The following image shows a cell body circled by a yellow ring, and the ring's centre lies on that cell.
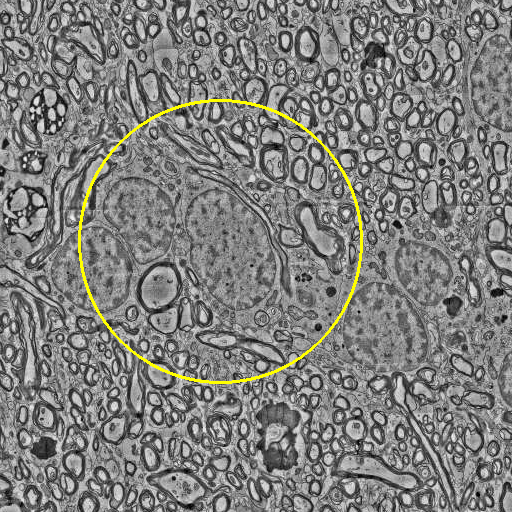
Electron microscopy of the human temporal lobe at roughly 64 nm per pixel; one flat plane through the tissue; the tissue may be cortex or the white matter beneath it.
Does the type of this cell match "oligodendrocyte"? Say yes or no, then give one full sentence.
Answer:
Yes, the type matches for the cell at the ring's centre in this picture.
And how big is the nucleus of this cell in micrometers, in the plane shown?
The nucleus works out at approximately 8 by 5 micrometres in this plane.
